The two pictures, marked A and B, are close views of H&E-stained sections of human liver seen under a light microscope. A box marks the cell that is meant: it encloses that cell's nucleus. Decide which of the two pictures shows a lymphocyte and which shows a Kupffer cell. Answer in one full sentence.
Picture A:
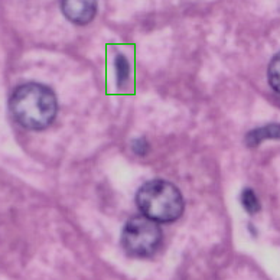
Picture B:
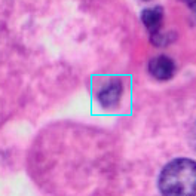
In picture A the cell is a lymphocyte; in picture B, a Kupffer cell.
